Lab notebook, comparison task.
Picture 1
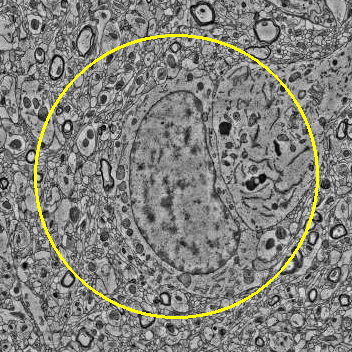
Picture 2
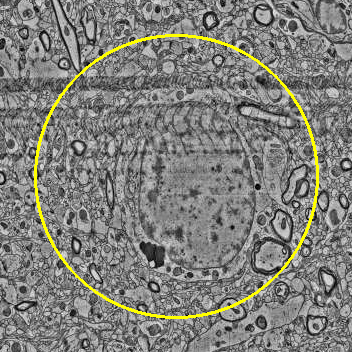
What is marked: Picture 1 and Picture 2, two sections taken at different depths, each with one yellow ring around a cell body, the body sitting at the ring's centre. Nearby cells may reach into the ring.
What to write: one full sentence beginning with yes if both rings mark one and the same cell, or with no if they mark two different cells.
Yes, the rings do not mark different cells but one cell.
